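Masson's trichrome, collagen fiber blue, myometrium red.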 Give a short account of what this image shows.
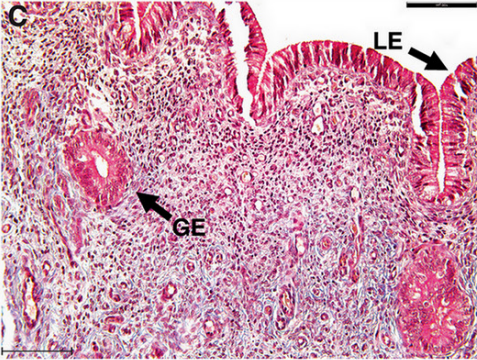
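This is the superficial endometrium beneath the surface lining, with a columnar epithelium and densely cellular stroma. The surface epithelium is a tall single layer of red-staining columnar cells with elongated basal nuclei, thrown into a fold at the right. Beneath it the stroma is packed with small, dark, oval to spindle nuclei set in a pale matrix with only faint bluish fibres. A uterine gland is cut in cross-section on the left, lined by columnar cells with basal nuclei around a small central lumen. Further gland profiles appear at the lower right edge.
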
